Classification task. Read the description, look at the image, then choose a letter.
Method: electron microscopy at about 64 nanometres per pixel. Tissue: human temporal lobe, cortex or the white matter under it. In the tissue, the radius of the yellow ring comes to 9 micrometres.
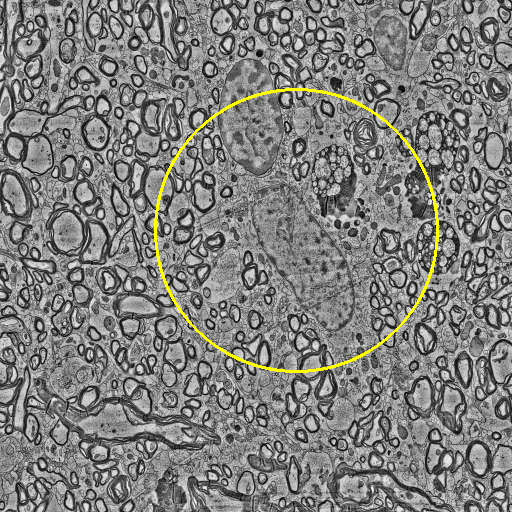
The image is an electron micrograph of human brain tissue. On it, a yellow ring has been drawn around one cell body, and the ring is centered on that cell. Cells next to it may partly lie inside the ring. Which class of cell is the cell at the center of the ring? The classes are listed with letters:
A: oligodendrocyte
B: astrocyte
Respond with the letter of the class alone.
B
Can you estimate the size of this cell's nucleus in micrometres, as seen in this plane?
The nucleus comes to roughly 10 by 4 micrometres in this plane.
